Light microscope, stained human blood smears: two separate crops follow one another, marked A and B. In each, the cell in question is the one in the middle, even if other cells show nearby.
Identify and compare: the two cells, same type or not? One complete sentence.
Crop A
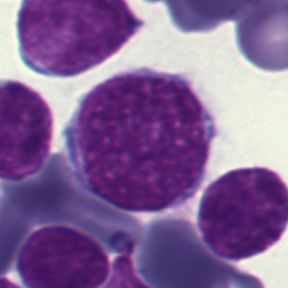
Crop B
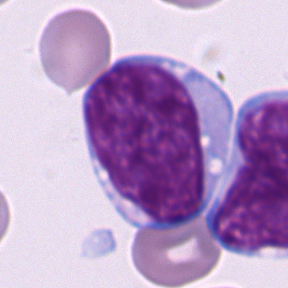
Yes, the reply for both crops is myeloblasts.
